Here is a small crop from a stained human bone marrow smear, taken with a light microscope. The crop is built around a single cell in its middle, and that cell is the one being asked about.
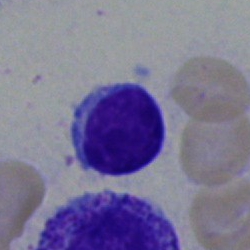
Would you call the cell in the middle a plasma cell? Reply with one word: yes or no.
no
